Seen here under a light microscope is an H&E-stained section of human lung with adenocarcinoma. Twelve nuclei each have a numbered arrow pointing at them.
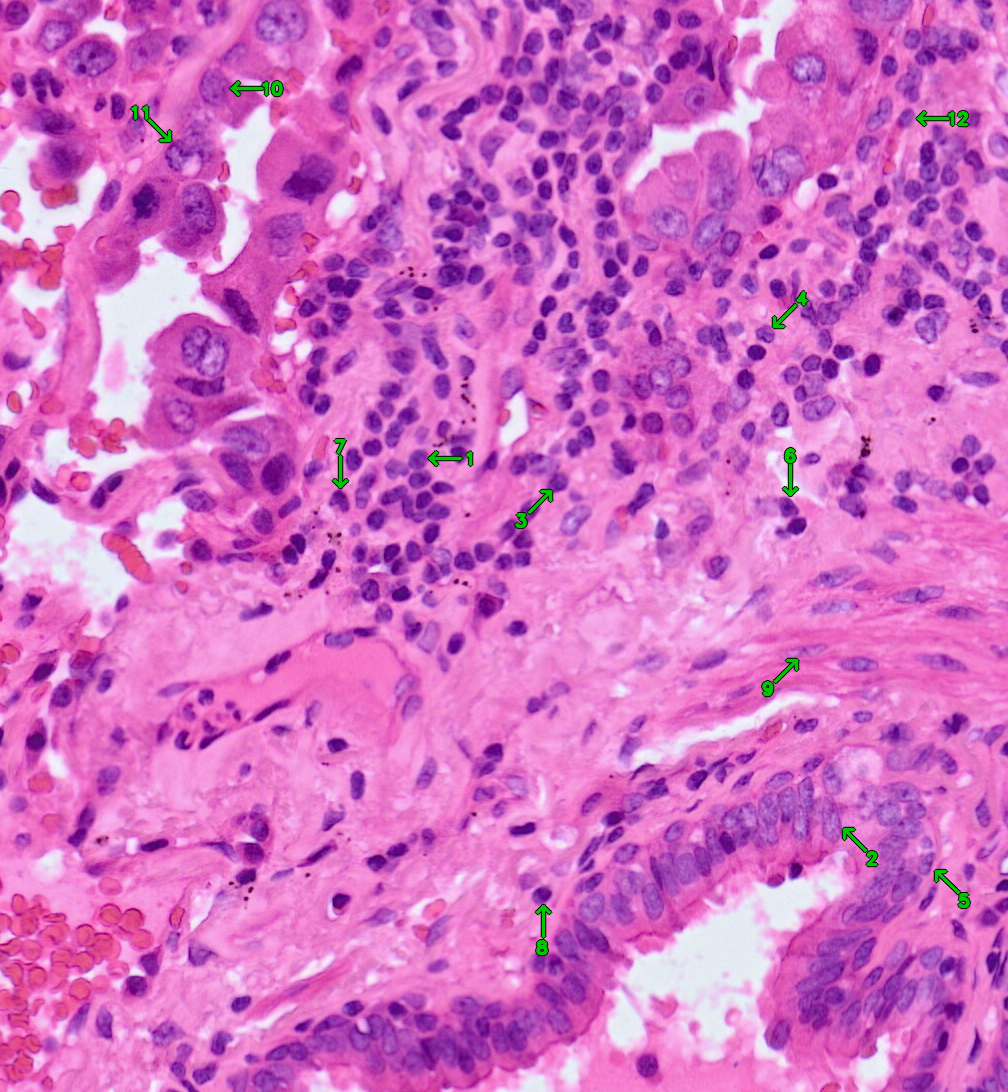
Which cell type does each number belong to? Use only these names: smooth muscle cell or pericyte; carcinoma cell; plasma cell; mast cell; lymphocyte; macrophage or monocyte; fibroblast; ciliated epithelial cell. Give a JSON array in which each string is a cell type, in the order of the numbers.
["lymphocyte", "ciliated epithelial cell", "lymphocyte", "lymphocyte", "ciliated epithelial cell", "lymphocyte", "lymphocyte", "lymphocyte", "smooth muscle cell or pericyte", "carcinoma cell", "carcinoma cell", "lymphocyte"]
